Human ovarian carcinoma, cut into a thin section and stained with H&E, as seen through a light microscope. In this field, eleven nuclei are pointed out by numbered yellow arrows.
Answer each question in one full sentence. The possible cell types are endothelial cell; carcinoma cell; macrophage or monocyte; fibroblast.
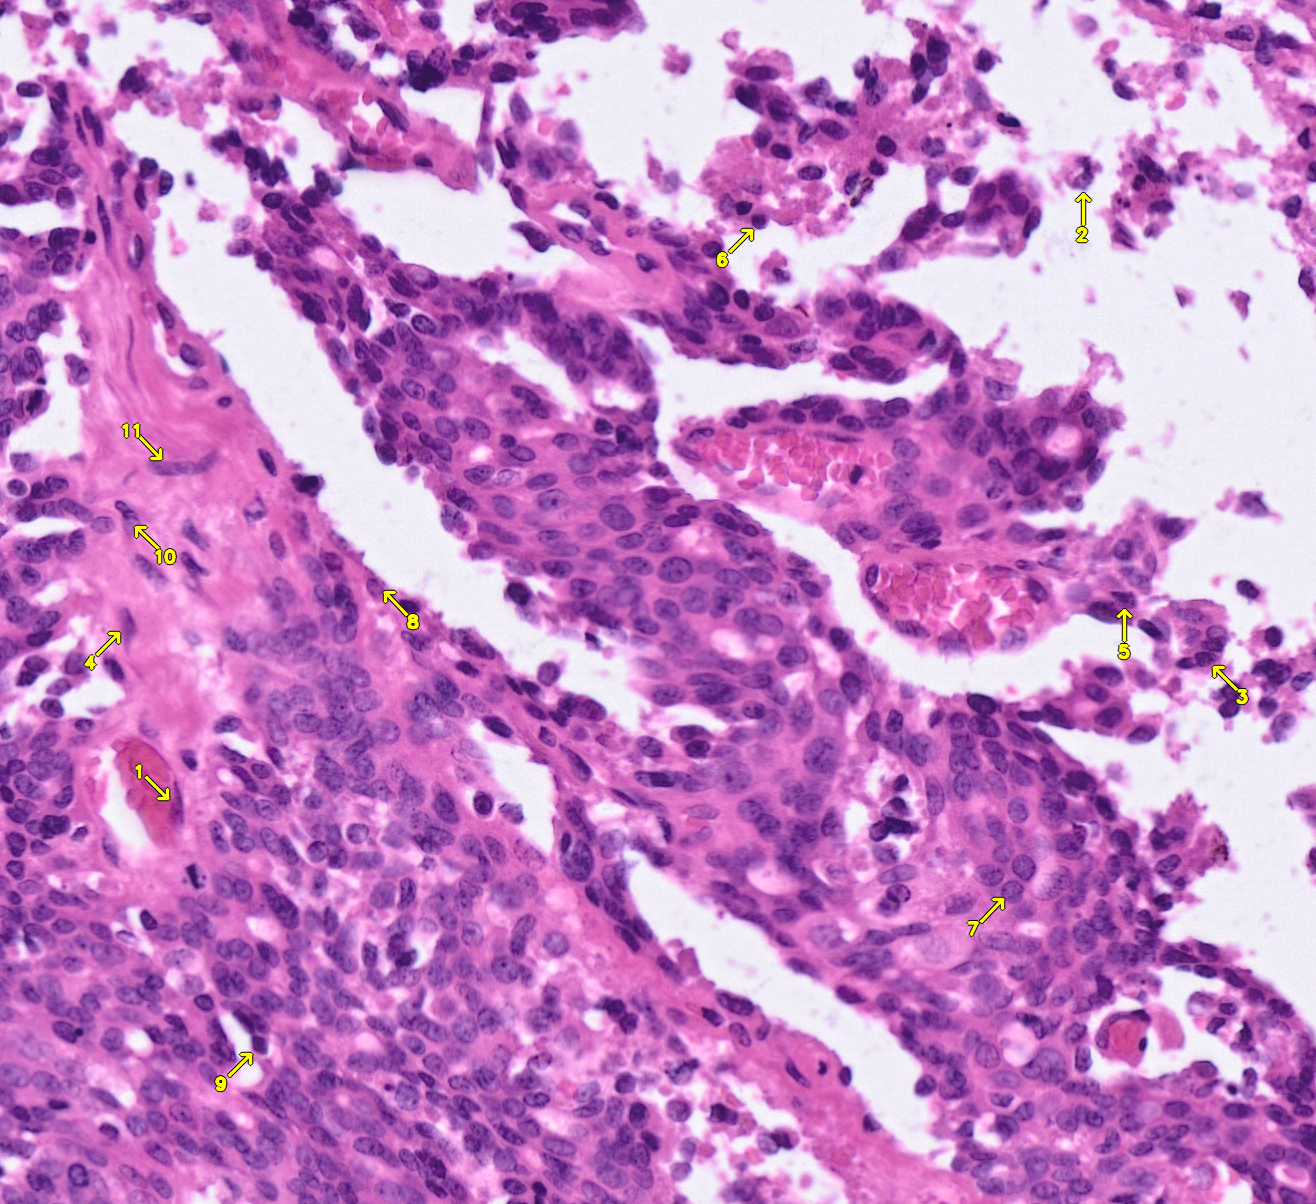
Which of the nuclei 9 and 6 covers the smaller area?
The smaller nucleus is 6, and 9 covers roughly 1.5 times its area.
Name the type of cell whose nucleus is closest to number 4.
The cell nearest to number 4 is a macrophage or monocyte.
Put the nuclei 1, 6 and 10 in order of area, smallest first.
Smallest first, the nuclei run 6, 1, 10.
